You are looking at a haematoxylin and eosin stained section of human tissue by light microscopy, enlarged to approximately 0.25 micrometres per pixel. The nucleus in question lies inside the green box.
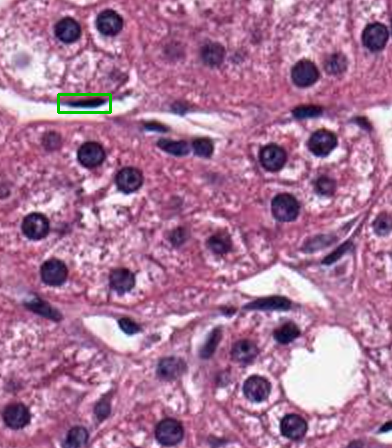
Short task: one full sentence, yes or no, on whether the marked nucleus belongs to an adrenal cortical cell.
No, it is not an adrenal cortical cell that owns the marked nucleus but a supporting cell.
